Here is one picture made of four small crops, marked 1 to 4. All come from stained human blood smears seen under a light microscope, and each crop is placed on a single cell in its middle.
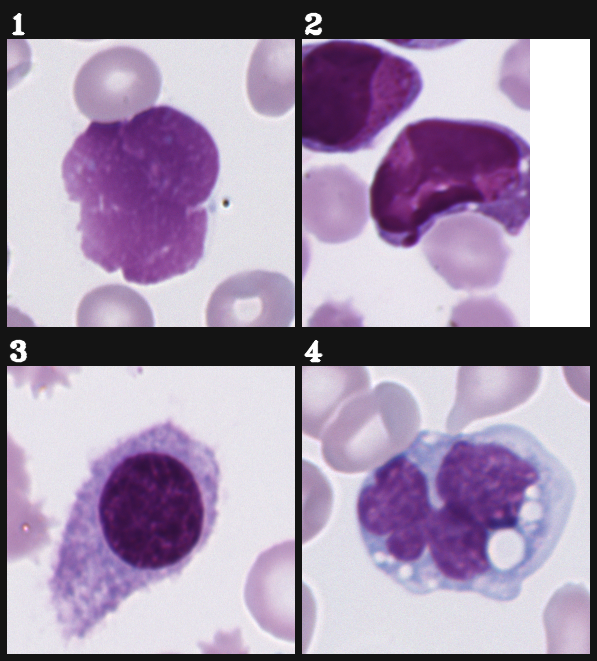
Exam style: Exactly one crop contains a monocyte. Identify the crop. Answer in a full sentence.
The requested cell, a monocyte, is the one in crop 4.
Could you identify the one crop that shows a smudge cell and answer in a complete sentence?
Crop 1 is identified as the crop showing a smudge cell.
